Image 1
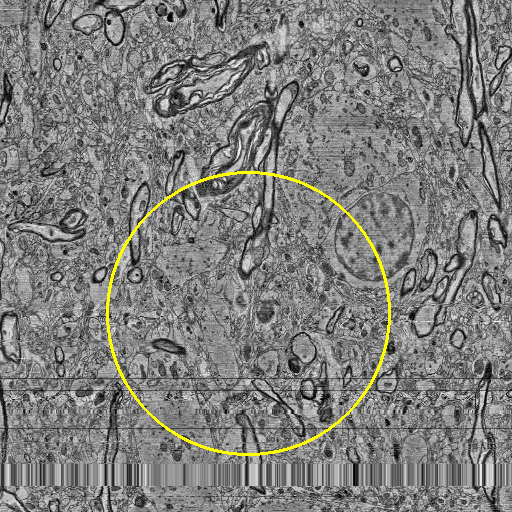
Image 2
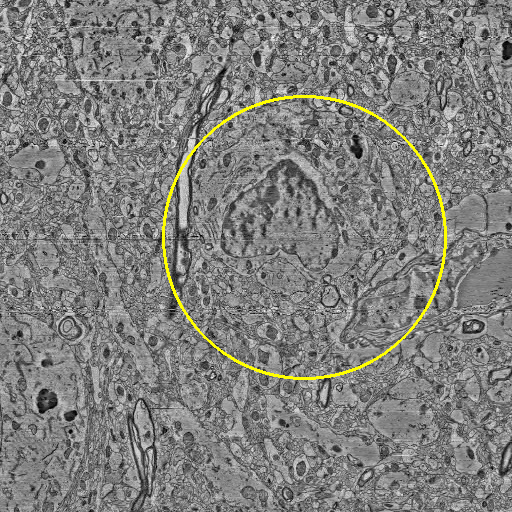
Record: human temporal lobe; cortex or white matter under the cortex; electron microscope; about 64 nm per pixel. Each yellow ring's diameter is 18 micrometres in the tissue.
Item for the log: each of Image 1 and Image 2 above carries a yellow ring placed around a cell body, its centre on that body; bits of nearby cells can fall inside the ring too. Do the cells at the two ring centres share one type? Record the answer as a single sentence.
Yes, the two cells at the ring centres in Image 1 and Image 2 share one type.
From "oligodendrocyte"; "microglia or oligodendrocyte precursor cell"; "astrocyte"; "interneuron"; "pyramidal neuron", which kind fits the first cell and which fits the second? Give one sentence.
In each picture the ringed cell is a microglial cell or oligodendrocyte precursor cell.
